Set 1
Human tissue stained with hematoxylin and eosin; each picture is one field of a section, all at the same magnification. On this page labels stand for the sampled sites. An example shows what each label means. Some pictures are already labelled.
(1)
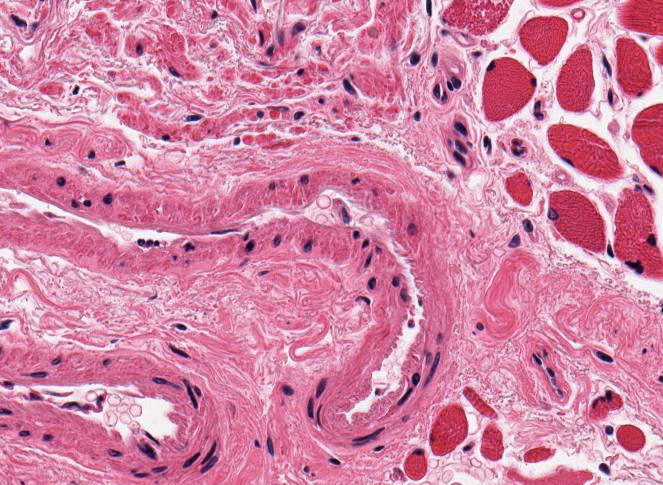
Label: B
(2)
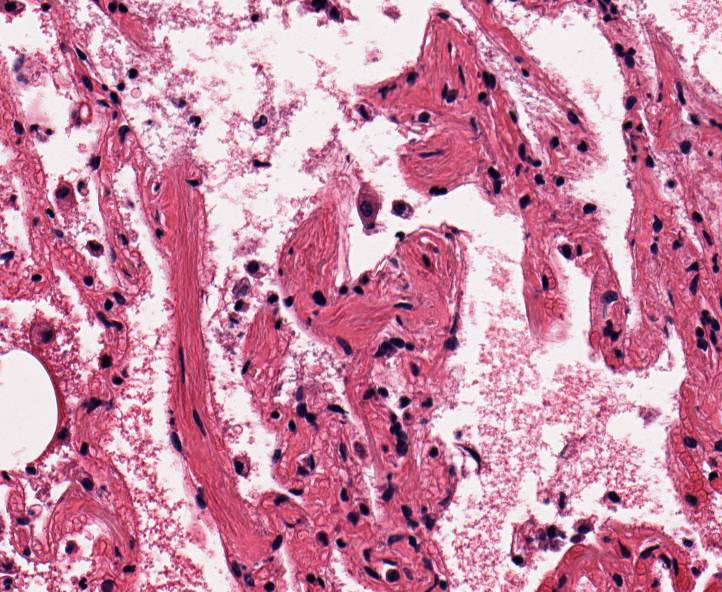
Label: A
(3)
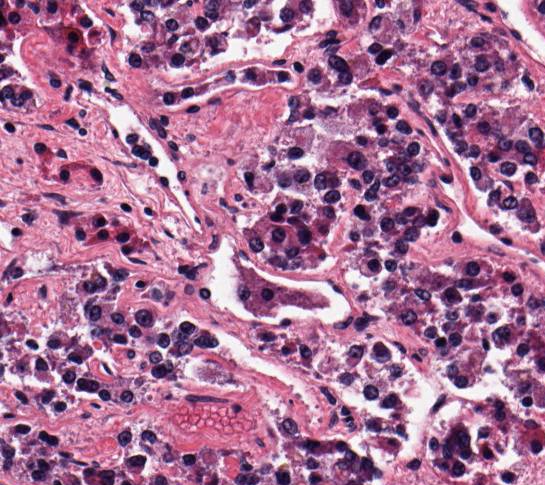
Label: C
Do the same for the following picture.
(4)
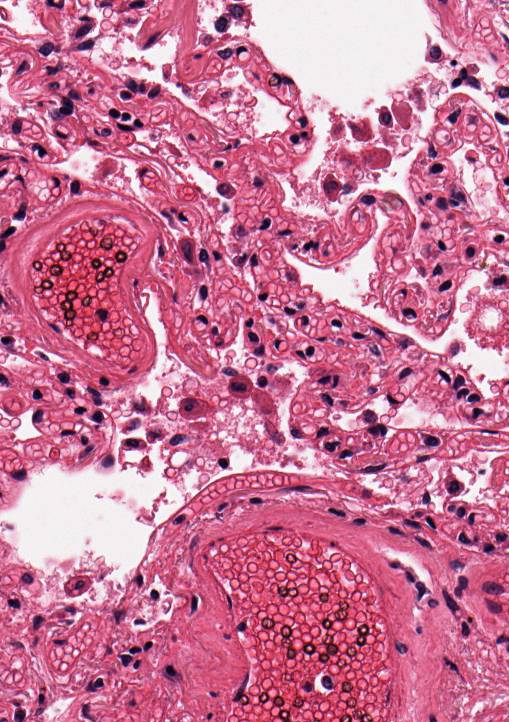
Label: A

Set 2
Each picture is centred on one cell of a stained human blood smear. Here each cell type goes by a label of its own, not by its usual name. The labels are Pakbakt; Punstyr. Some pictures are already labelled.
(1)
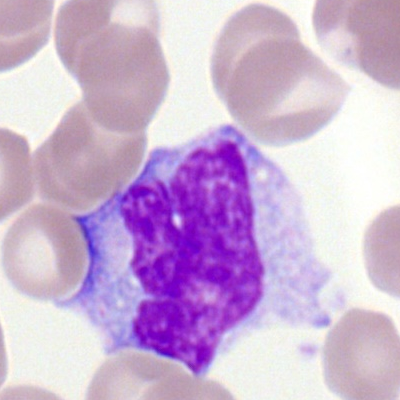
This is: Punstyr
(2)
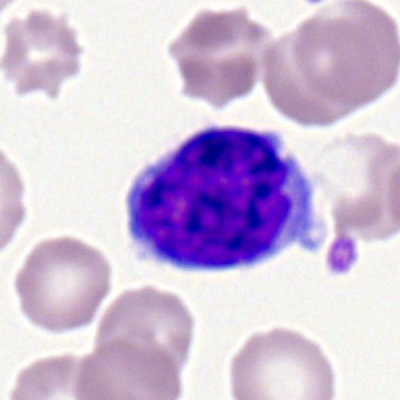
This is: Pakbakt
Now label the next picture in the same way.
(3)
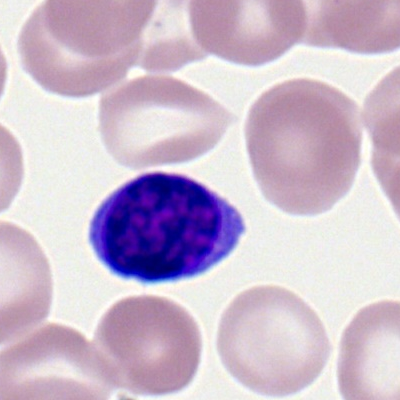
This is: Pakbakt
